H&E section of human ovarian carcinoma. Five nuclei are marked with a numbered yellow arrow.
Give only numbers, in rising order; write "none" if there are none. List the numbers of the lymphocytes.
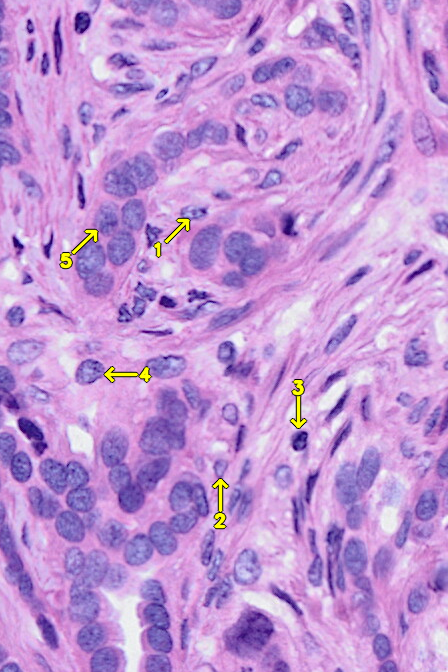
3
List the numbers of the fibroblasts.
1, 2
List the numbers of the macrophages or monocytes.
4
